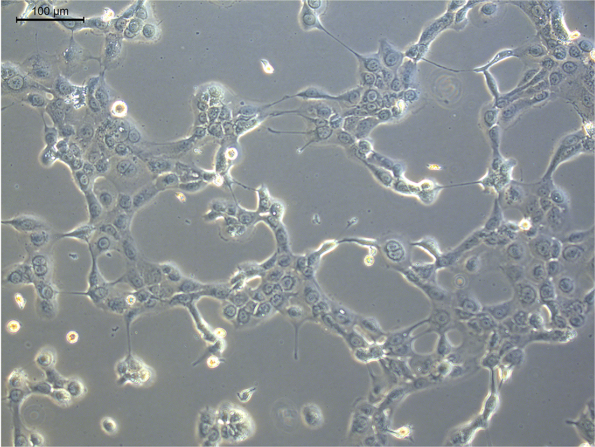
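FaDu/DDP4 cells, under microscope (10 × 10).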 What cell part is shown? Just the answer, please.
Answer: Pseudopodia.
